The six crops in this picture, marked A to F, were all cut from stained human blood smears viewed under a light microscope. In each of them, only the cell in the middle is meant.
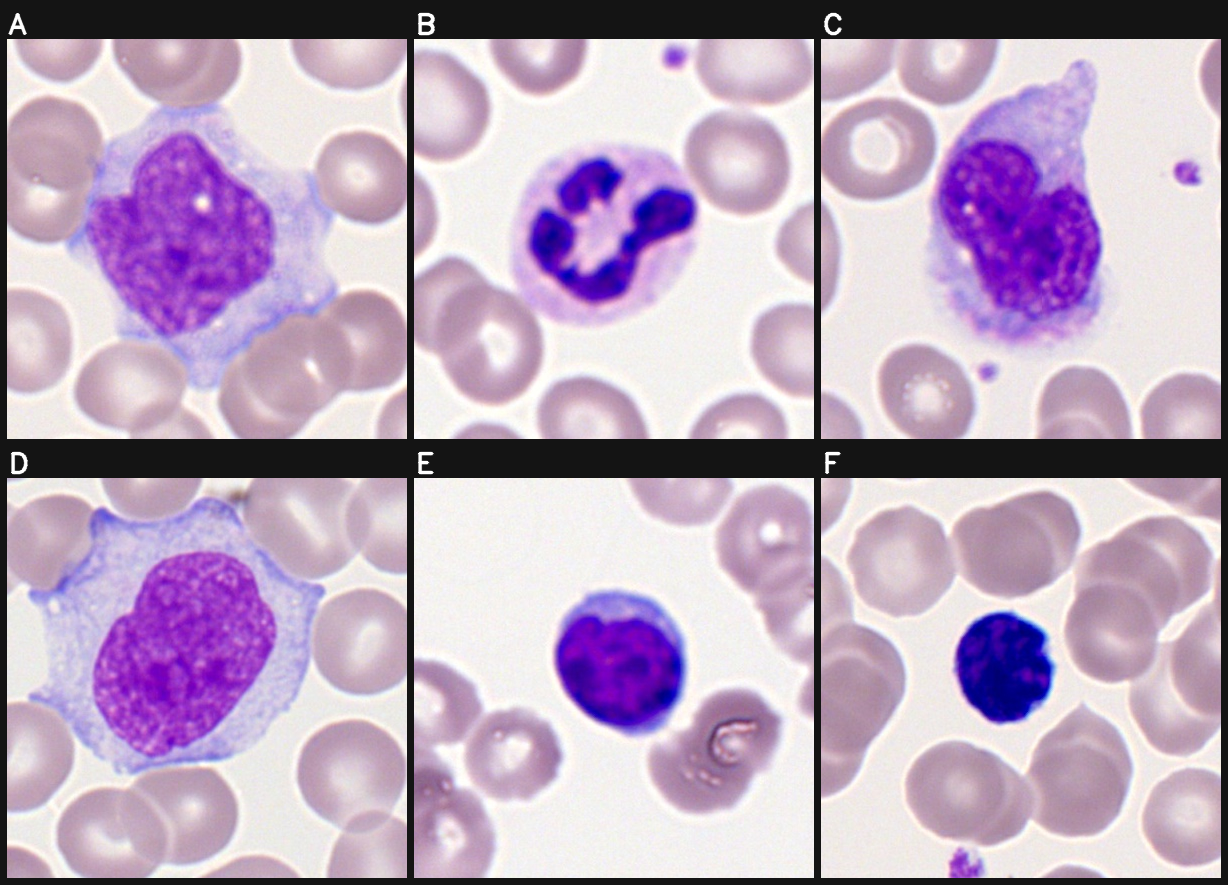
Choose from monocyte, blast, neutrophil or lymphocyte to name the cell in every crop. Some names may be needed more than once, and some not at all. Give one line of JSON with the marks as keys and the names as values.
{"A": "monocyte", "B": "neutrophil", "C": "monocyte", "D": "monocyte", "E": "lymphocyte", "F": "lymphocyte"}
